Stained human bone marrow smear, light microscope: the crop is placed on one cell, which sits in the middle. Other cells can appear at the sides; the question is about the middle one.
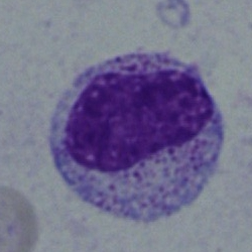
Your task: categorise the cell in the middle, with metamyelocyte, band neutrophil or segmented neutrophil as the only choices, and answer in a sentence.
The cell in the exact centre of the crop is a metamyelocyte.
